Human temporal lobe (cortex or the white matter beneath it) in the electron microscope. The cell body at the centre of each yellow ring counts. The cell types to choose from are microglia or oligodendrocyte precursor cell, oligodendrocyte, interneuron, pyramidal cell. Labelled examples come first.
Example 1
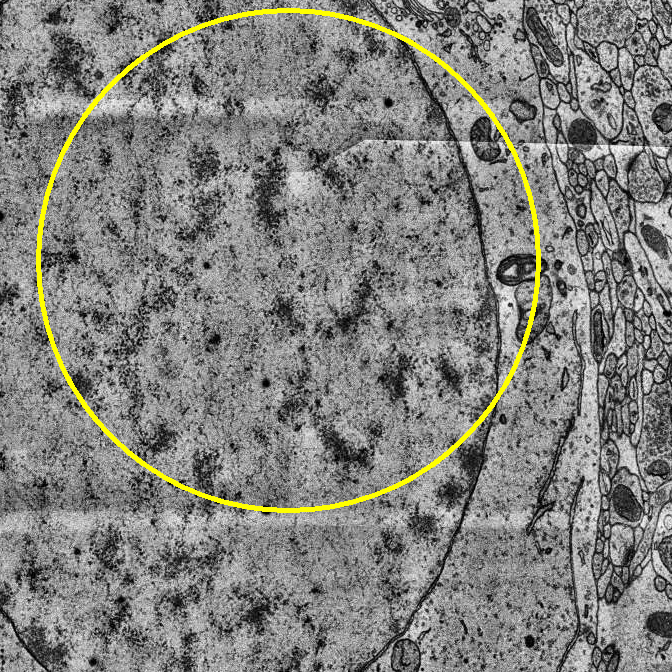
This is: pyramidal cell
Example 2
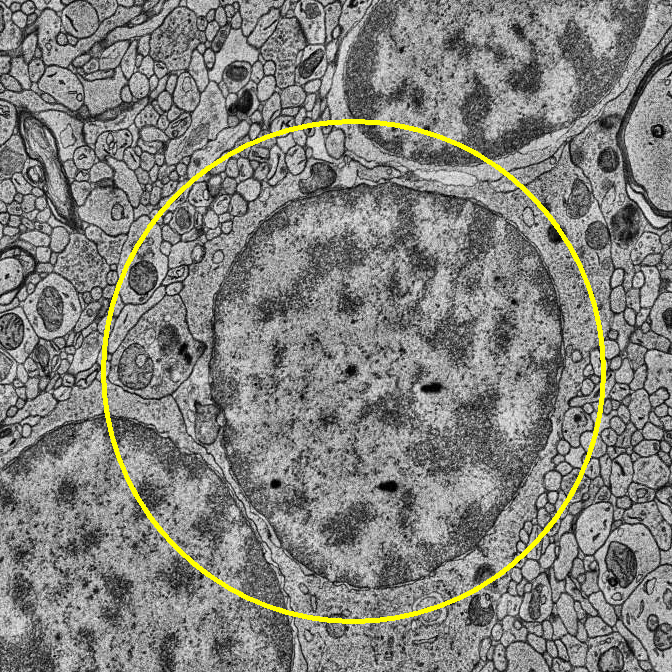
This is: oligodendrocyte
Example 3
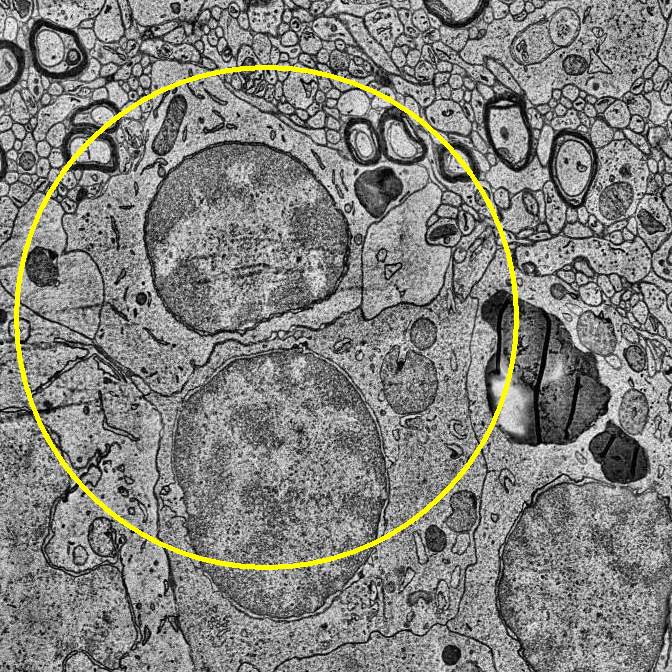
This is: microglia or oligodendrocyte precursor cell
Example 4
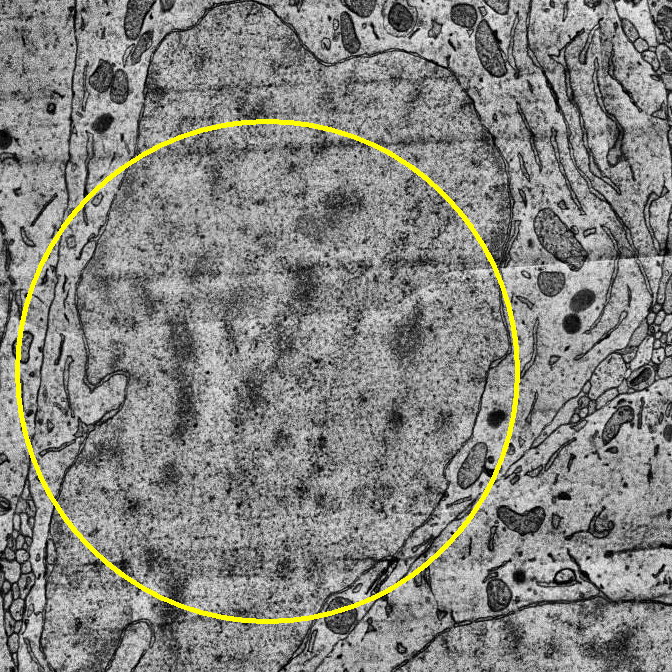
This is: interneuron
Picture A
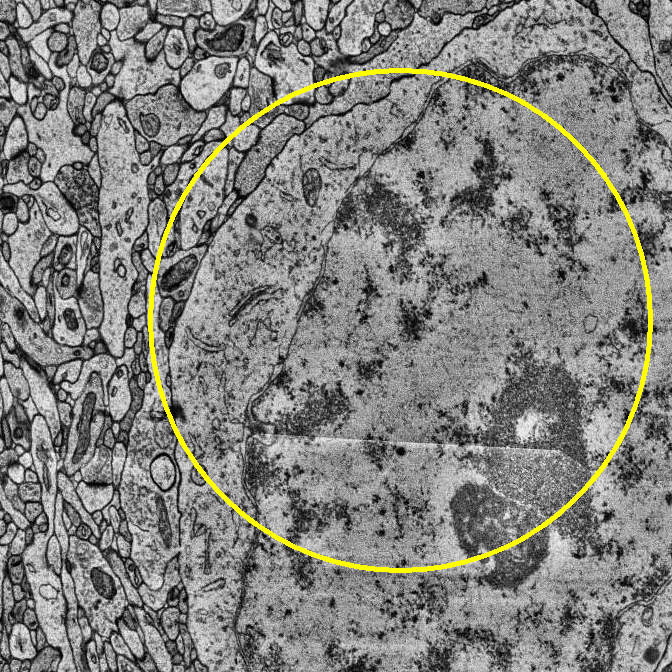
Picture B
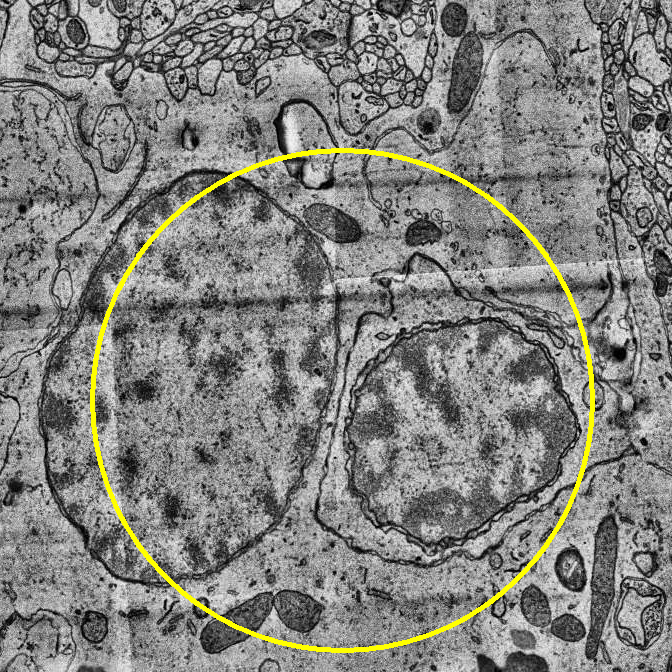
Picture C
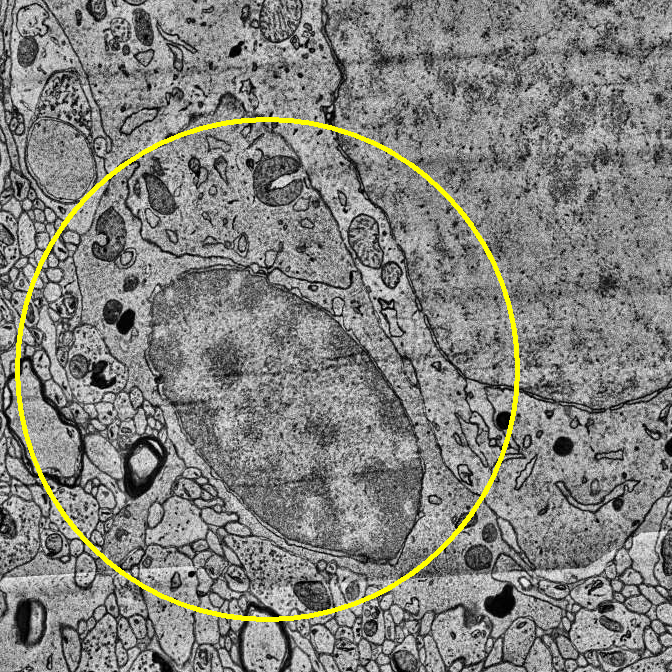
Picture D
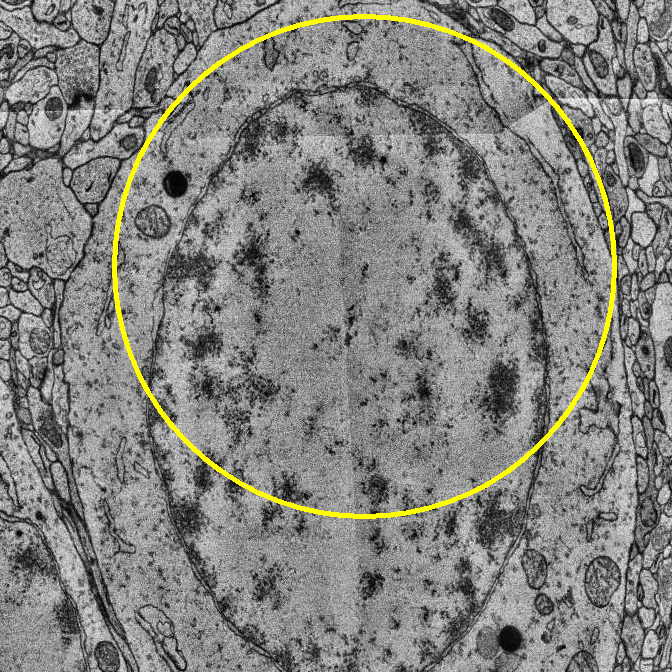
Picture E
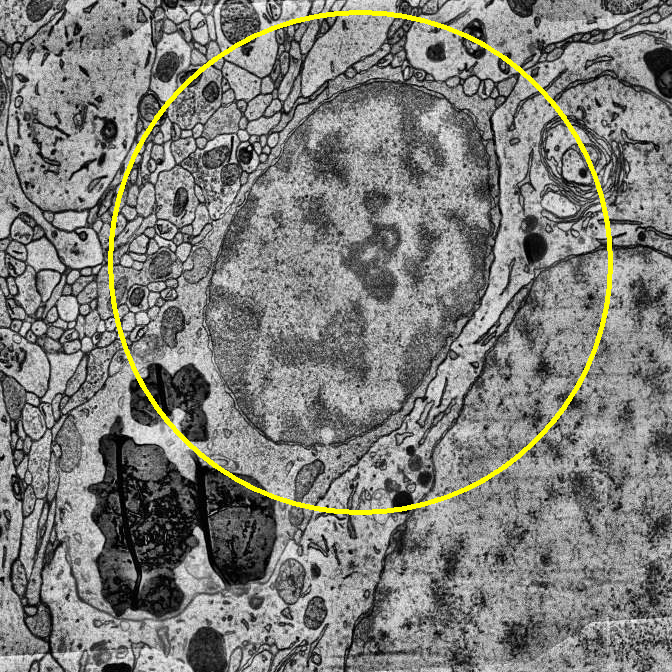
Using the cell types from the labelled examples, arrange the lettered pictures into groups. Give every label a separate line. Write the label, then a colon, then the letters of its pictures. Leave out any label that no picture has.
microglia or oligodendrocyte precursor cell: B
oligodendrocyte: C, E
interneuron: A
pyramidal cell: D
